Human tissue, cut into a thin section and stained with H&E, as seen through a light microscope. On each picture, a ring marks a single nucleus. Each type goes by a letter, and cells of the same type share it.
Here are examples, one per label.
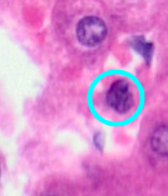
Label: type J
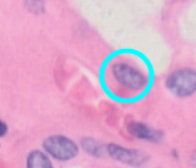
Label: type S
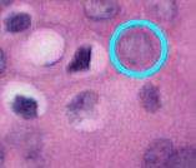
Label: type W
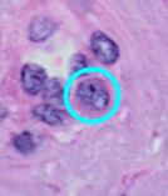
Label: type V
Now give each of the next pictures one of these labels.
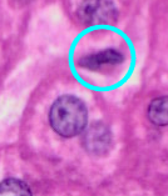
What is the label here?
type J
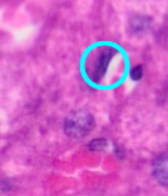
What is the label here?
type V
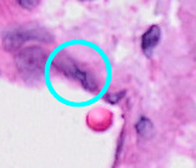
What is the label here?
type V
